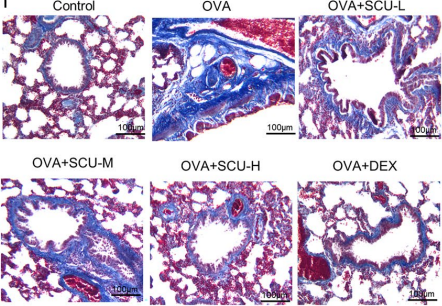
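The alveolar walls and cells stain red to purple, and the airways are lined by a folded epithelium. The width of this blue band varies between images: in some it is thin, and in others it is broad and dense and extends into the surrounding tissue. Some vessels contain red-stained blood.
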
